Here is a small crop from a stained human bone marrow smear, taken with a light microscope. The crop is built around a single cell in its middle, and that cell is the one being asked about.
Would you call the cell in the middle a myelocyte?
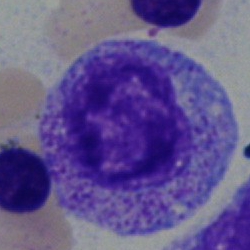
yes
